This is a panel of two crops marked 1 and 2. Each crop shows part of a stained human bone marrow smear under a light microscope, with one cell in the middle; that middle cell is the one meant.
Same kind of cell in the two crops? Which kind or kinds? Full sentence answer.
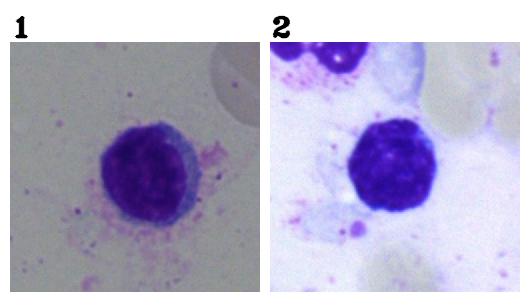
Yes, lymphocytes are present at the centre of both crops.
